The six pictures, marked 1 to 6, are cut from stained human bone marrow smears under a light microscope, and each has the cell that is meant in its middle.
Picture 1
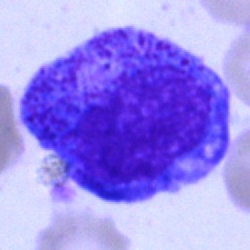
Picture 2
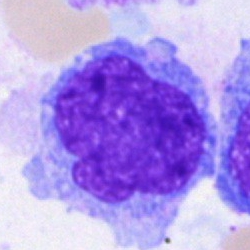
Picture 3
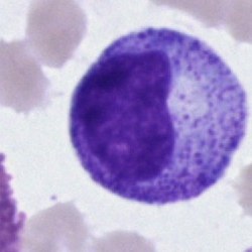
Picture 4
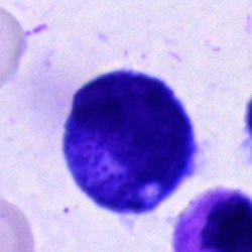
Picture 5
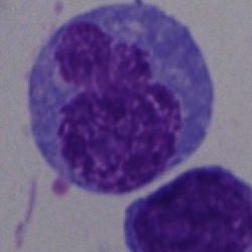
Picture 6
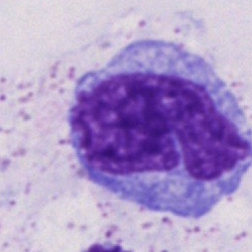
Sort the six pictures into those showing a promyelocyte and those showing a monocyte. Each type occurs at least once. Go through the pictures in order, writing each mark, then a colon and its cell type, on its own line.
1: promyelocyte
2: monocyte
3: promyelocyte
4: promyelocyte
5: monocyte
6: monocyte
